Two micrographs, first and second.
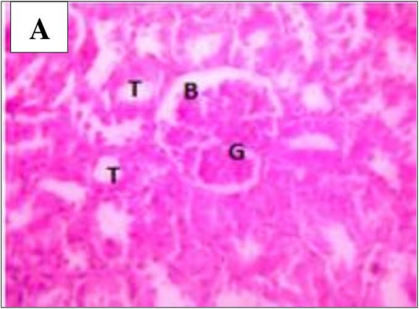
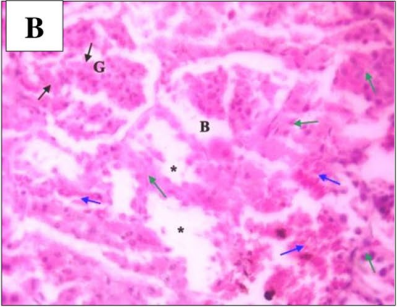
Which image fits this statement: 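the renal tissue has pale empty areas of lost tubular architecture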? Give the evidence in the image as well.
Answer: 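Second image: large pale empty spaces interrupt the tissue. First image: tubules and glomerulus are compact and continuous.
The second image.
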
